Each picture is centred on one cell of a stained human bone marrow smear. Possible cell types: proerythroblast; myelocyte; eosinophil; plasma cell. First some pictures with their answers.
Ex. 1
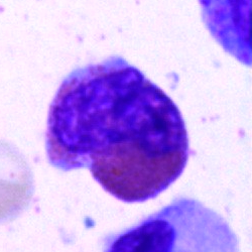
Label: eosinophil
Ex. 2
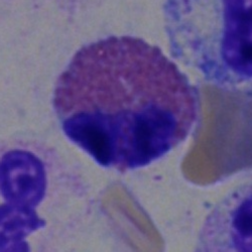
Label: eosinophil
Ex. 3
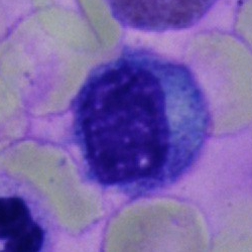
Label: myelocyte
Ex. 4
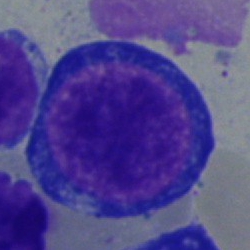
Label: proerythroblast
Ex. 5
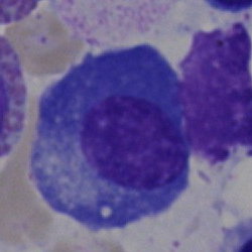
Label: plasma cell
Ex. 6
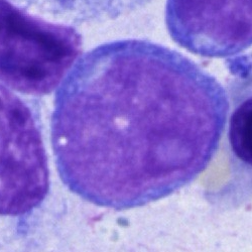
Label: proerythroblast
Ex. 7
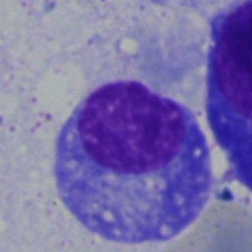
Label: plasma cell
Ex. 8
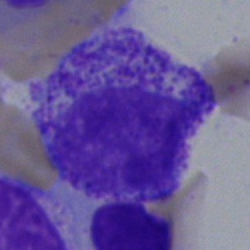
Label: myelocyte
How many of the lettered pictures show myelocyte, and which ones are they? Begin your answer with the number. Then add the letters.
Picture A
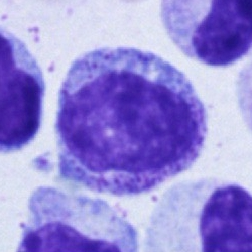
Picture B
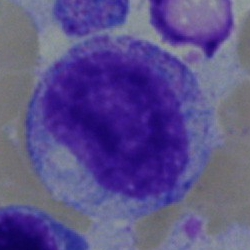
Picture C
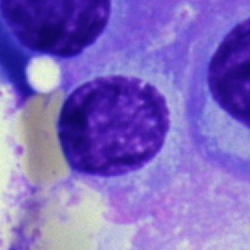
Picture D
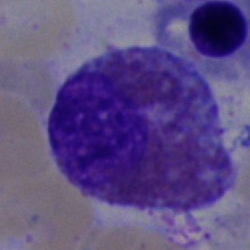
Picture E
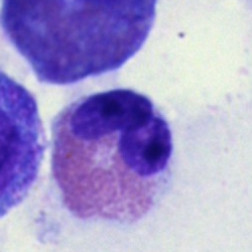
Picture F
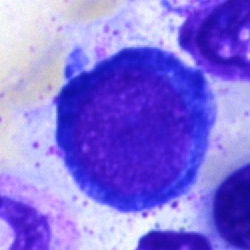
Count: 2 (A, B)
